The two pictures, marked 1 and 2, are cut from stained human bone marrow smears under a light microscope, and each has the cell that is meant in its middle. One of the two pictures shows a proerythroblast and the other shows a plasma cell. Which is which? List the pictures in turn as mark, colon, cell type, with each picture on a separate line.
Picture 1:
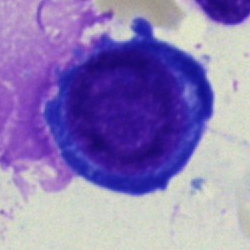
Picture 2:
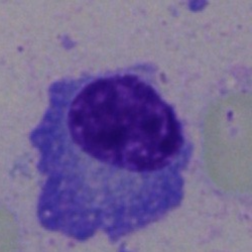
1: proerythroblast
2: plasma cell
